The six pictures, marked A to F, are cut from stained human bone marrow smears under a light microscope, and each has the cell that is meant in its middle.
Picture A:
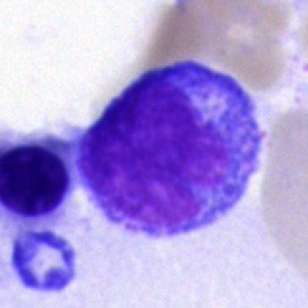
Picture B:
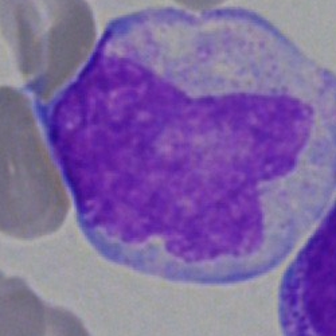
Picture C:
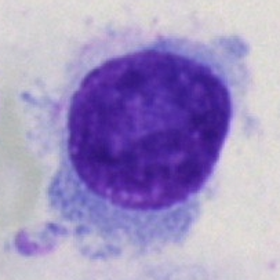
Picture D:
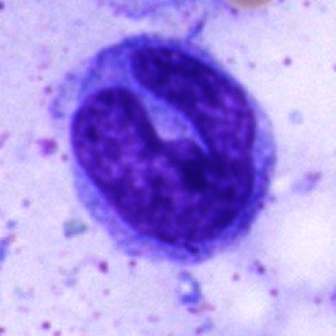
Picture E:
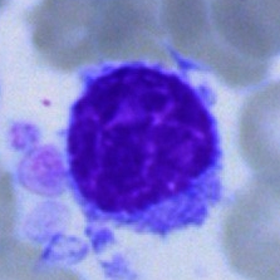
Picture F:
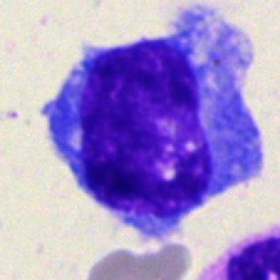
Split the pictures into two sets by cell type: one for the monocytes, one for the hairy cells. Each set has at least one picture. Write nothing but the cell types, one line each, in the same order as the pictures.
monocyte
monocyte
hairy cell
monocyte
hairy cell
monocyte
